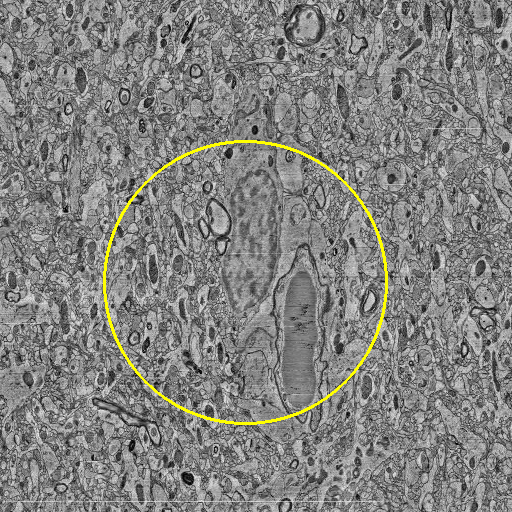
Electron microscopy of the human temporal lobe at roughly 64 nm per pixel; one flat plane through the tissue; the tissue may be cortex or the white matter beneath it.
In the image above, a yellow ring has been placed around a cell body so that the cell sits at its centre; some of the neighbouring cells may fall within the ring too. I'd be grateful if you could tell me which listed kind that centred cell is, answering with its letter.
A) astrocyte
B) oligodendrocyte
B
